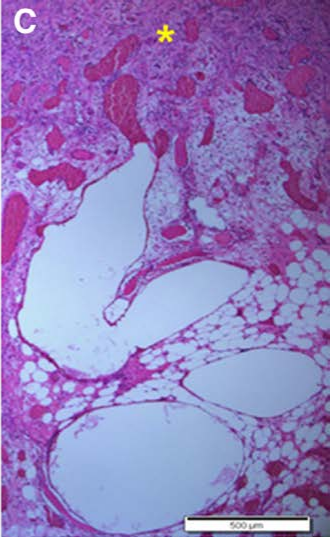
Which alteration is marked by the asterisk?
Fibrotic area.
